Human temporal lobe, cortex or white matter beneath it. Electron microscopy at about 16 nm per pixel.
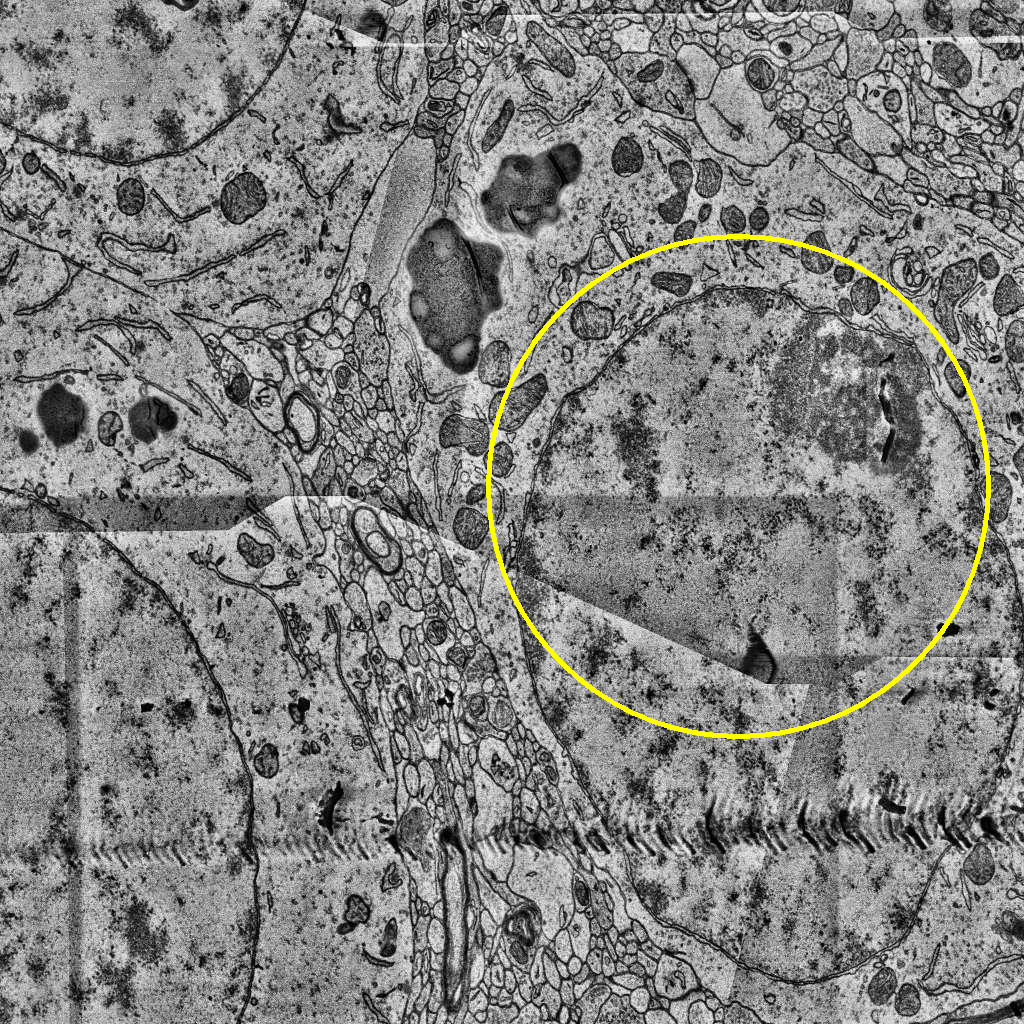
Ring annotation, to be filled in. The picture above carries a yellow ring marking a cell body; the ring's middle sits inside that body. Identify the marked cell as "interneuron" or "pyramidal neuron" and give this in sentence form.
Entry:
The cell at the middle of the ring is an interneuron.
